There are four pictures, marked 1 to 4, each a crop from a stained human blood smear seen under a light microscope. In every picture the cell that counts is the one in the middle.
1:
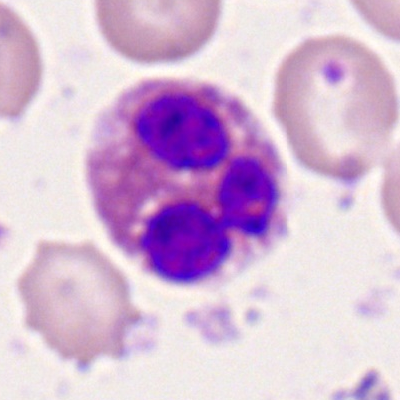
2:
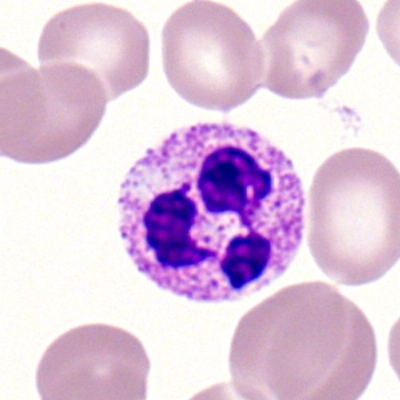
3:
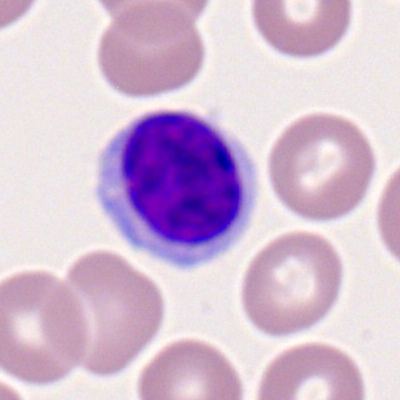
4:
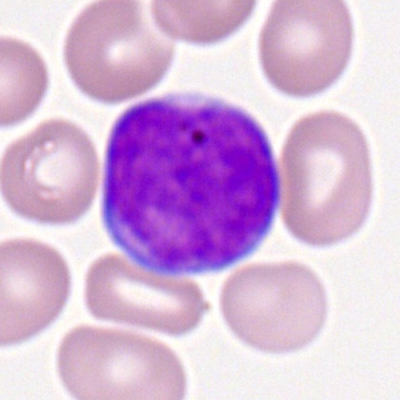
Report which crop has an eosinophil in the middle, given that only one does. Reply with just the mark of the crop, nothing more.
1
